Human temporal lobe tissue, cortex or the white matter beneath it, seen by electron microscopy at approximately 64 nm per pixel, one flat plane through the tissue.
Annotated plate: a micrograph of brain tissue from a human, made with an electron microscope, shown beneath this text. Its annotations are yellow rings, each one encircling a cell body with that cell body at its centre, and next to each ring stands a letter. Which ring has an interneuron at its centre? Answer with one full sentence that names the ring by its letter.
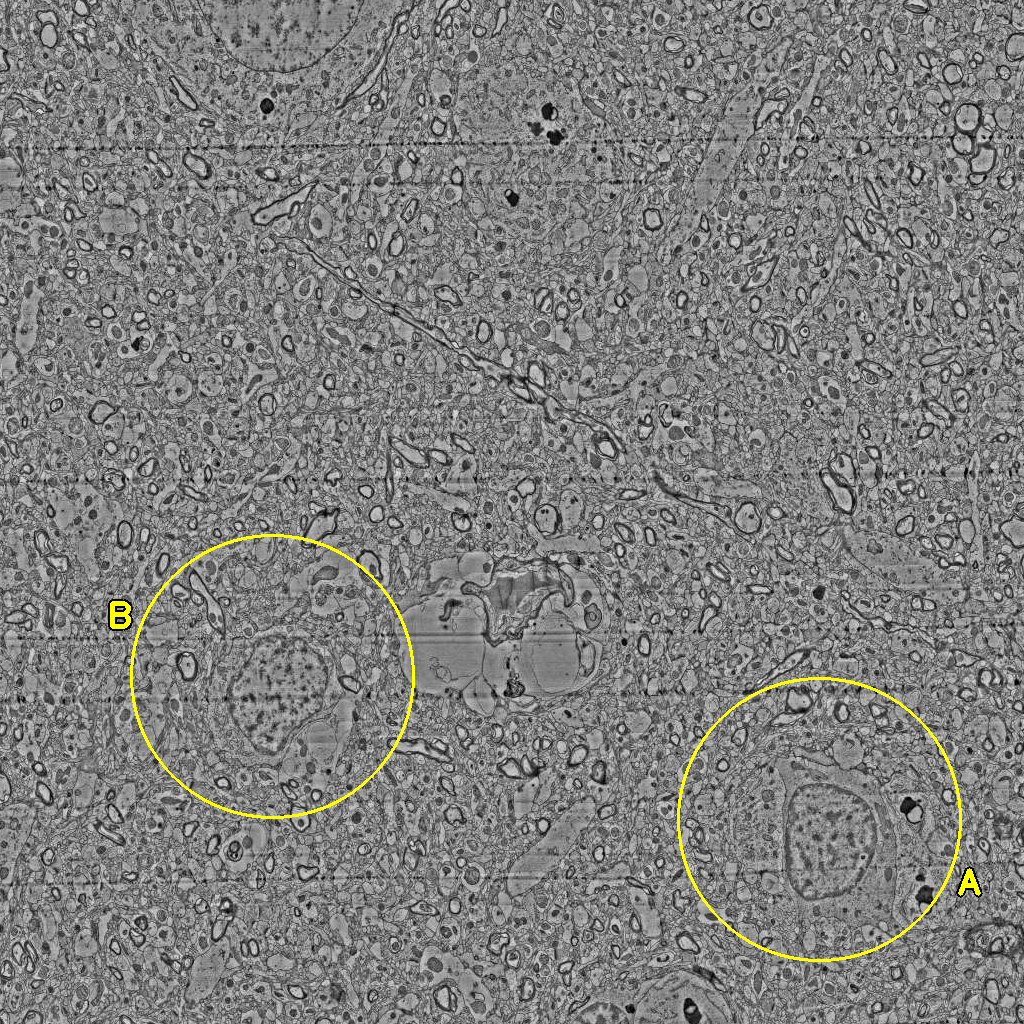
In the plate, ring B is the one centred on a cell of that kind.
